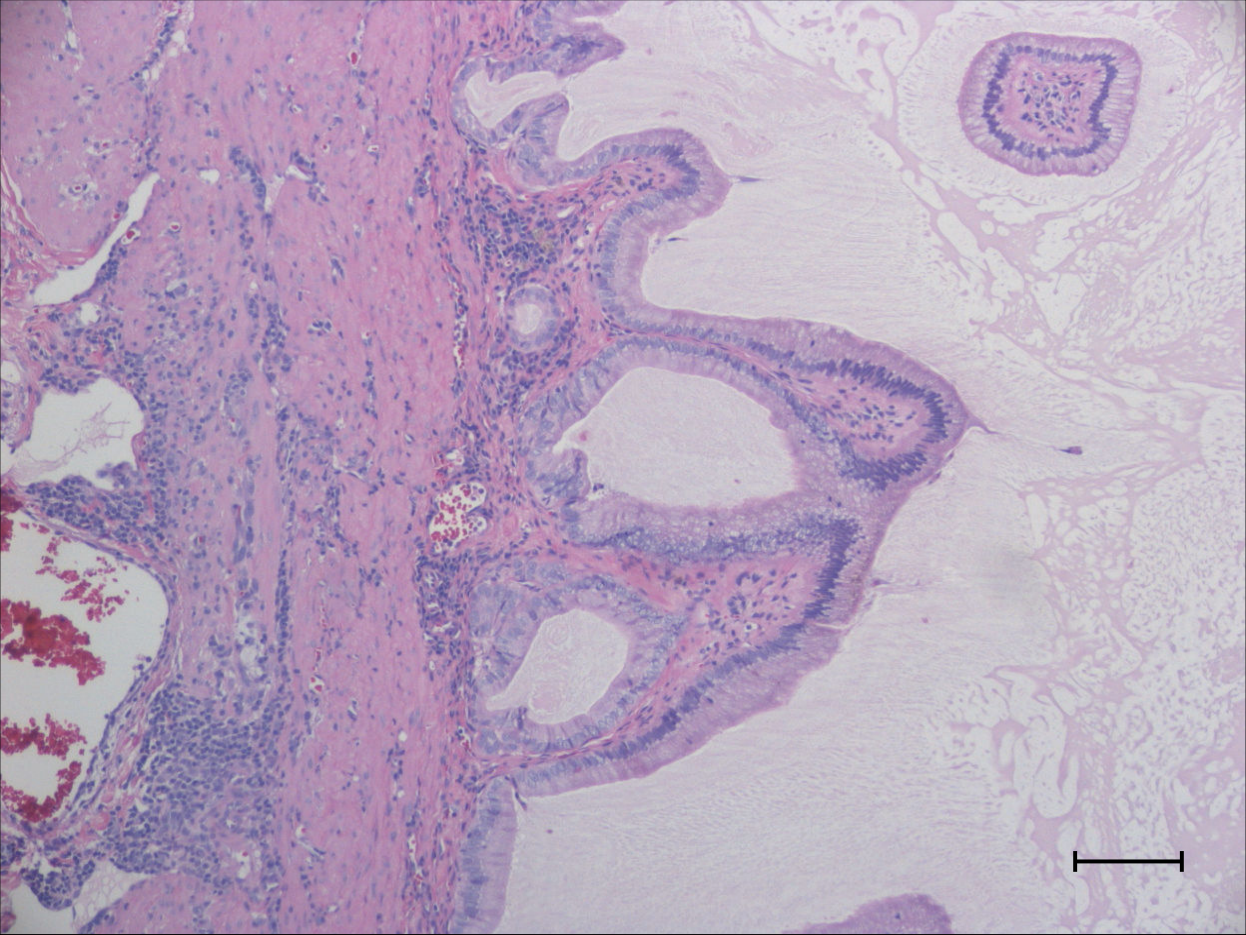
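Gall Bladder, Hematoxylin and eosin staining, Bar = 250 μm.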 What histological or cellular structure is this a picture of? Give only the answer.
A: Mucus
